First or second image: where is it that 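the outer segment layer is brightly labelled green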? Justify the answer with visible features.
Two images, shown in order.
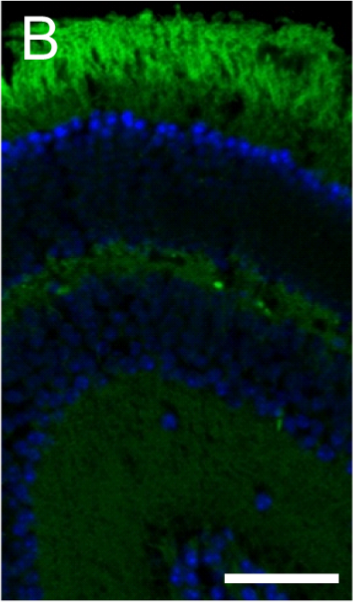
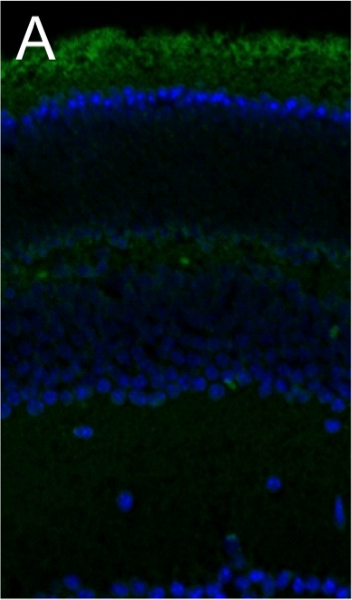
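First image: the outermost band is intensely bright green and thick with radial striations. Second image: the outermost band is only faintly to moderately green. On this evidence: the first image.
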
